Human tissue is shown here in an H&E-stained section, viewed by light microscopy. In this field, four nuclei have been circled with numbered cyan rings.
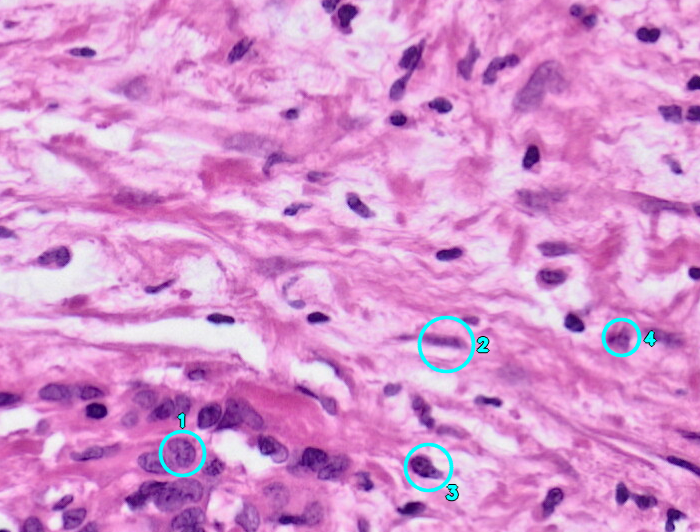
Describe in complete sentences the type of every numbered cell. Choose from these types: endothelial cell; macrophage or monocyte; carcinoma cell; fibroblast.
Cell 1 is a carcinoma cell. Cells 2 and 4 are fibroblasts. Cell 3 is a macrophage or monocyte.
